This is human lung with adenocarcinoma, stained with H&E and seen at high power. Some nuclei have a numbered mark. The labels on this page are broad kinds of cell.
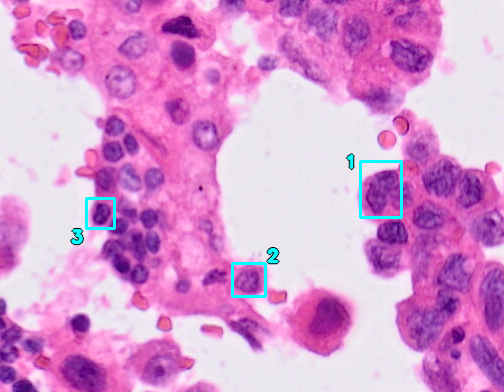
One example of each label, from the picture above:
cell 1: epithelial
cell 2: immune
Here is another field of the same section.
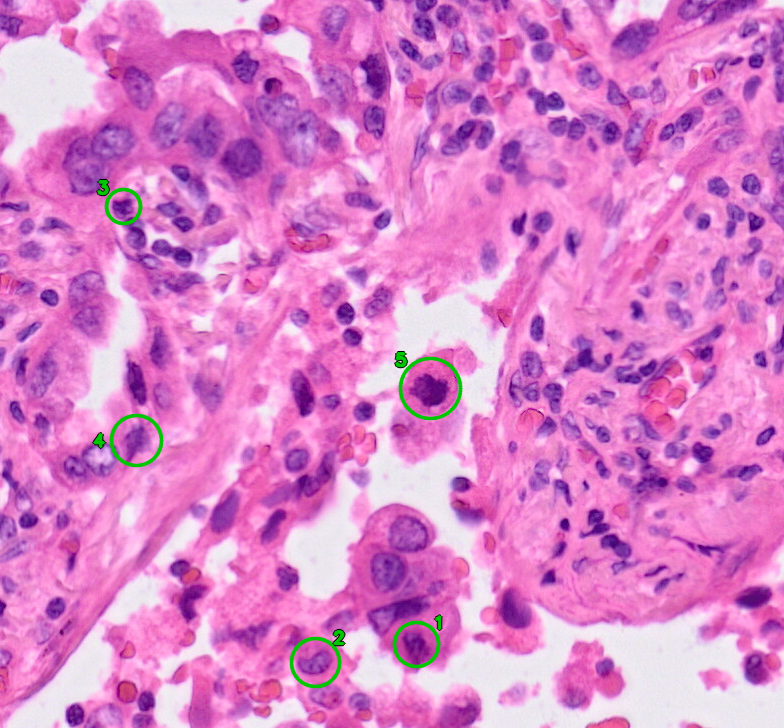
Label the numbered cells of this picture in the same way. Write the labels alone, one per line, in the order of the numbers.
epithelial
immune
immune
epithelial
epithelial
